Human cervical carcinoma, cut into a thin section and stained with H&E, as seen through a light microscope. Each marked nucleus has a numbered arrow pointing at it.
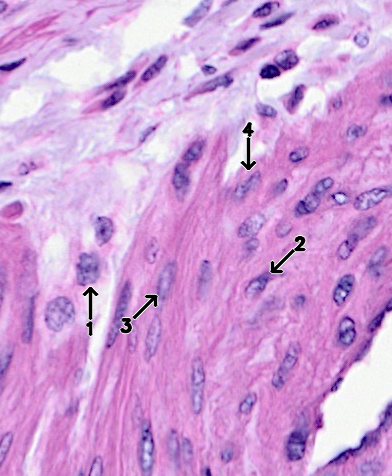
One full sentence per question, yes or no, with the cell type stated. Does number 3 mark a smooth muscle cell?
Yes, regarding cell number 3, it is a smooth muscle cell.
